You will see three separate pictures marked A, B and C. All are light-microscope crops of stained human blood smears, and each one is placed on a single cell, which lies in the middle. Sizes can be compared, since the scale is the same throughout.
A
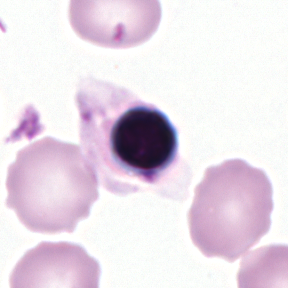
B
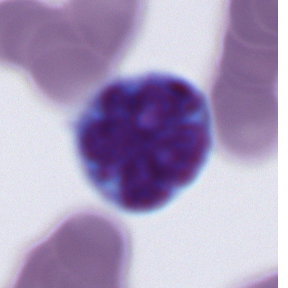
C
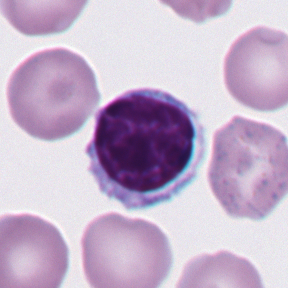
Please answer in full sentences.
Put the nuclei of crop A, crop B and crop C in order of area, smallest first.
Going up, they run A, C, B.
